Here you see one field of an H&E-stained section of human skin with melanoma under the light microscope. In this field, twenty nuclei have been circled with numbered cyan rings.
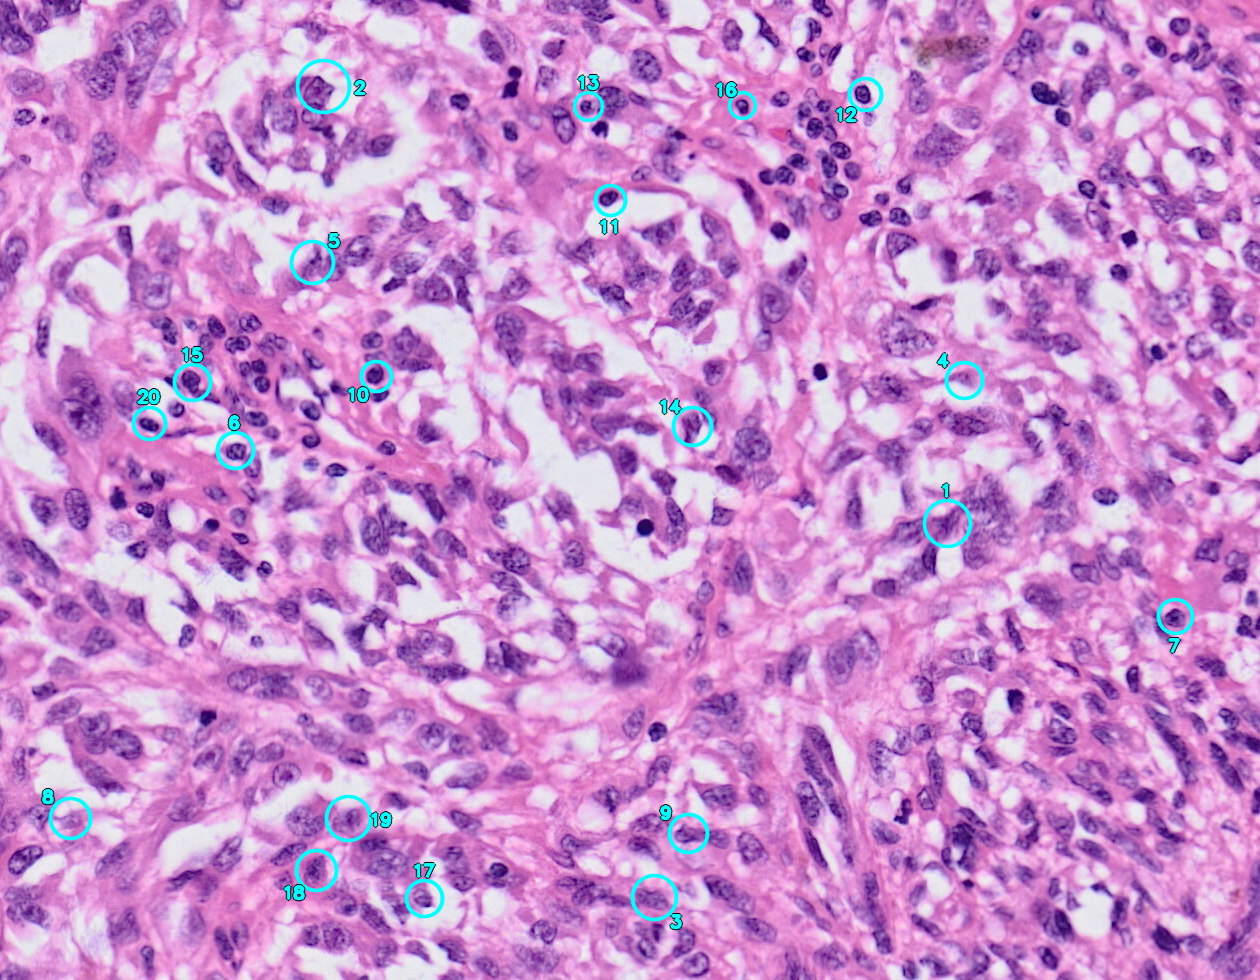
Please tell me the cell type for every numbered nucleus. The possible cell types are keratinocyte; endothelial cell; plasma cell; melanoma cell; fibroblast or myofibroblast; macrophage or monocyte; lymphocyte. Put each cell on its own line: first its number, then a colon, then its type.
1: melanoma cell
2: melanoma cell
3: melanoma cell
4: melanoma cell
5: melanoma cell
6: lymphocyte
7: lymphocyte
8: melanoma cell
9: melanoma cell
10: lymphocyte
11: lymphocyte
12: lymphocyte
13: lymphocyte
14: melanoma cell
15: lymphocyte
16: lymphocyte
17: melanoma cell
18: melanoma cell
19: melanoma cell
20: lymphocyte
